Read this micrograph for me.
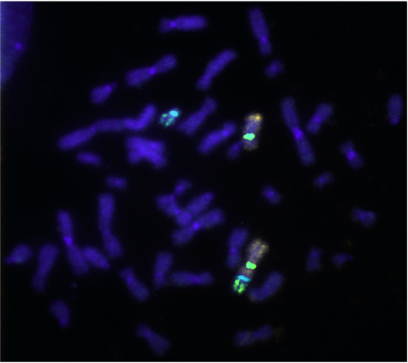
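A few chromosomes carry bright hybridization spots. Two of them bear vivid green spots near their constrictions, and their arms show a pale yellow-orange tint along part of their length. One of these also carries a small aqua spot, and a separate small chromosome shows an aqua spot by itself. The rest stay plain blue.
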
